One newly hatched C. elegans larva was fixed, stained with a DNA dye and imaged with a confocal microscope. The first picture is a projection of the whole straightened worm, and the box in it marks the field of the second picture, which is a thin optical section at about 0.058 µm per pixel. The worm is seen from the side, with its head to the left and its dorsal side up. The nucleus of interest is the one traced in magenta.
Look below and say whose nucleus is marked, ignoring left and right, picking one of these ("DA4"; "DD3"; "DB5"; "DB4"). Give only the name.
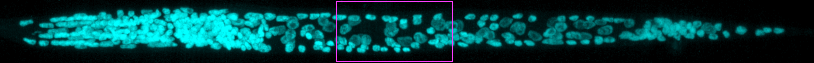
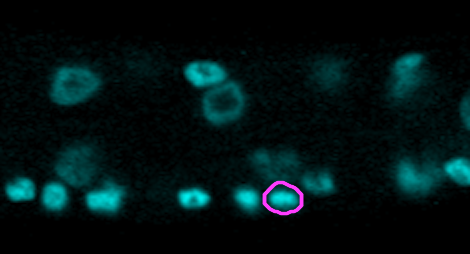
DD3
